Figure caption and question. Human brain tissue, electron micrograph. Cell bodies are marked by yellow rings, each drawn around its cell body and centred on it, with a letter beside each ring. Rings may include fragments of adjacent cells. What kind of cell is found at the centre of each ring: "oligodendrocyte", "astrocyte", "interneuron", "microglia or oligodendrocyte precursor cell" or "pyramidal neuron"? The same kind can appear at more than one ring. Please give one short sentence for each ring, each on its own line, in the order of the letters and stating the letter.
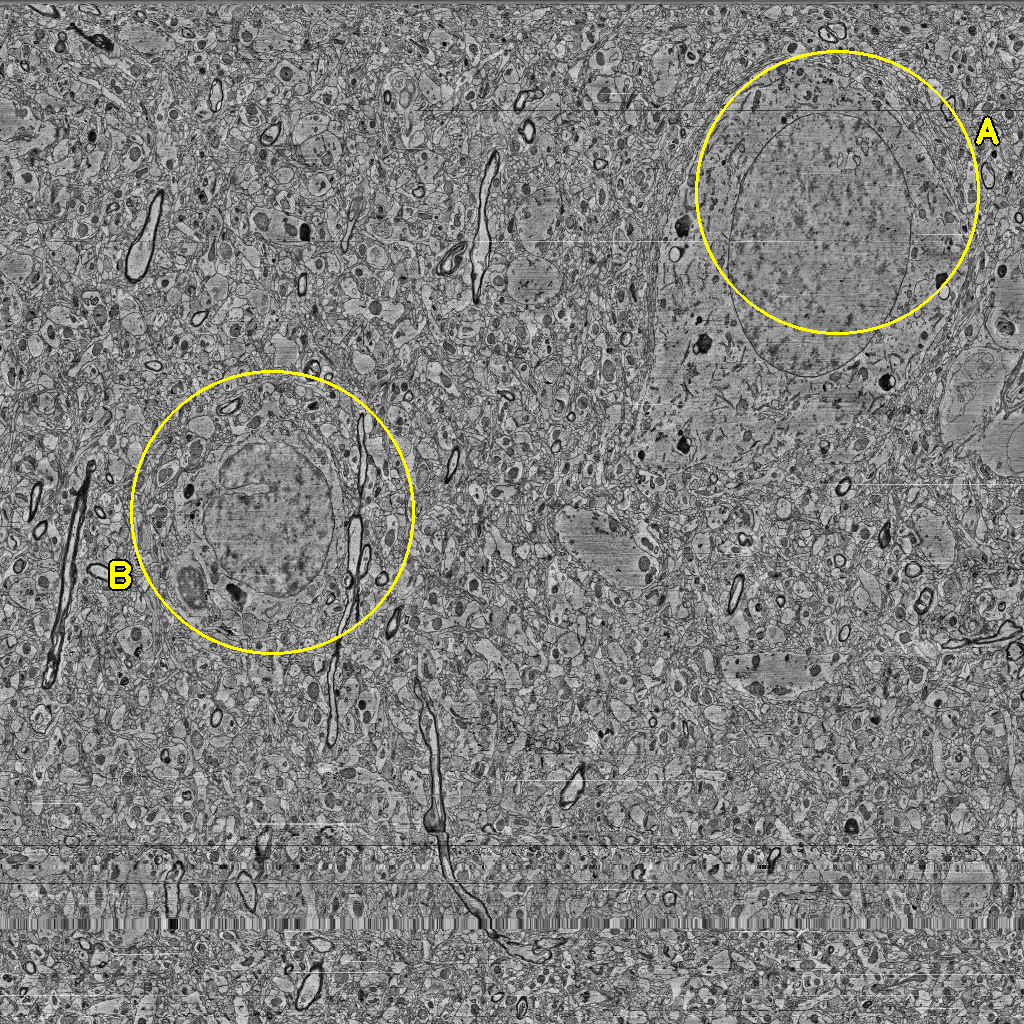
The centre of ring A falls on a pyramidal neuron.
The centre of ring B falls on an interneuron.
